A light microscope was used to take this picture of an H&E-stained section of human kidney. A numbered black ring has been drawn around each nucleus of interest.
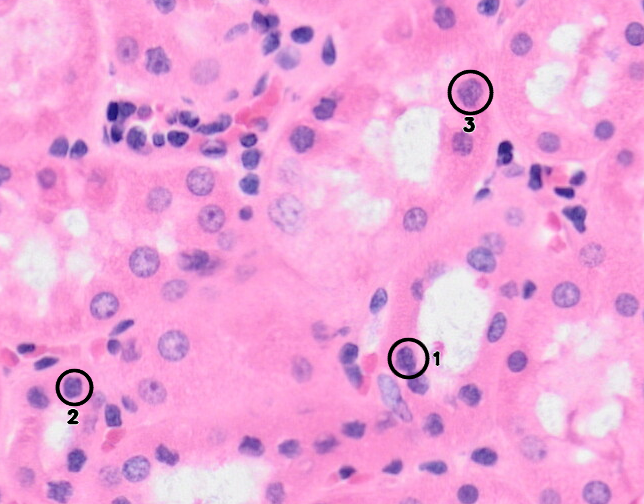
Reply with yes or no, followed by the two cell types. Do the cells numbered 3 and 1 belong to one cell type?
No, unlike cell 1, which is a loop of Henle or distal tubule cell, cell 3 is a proximal tubule cell.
